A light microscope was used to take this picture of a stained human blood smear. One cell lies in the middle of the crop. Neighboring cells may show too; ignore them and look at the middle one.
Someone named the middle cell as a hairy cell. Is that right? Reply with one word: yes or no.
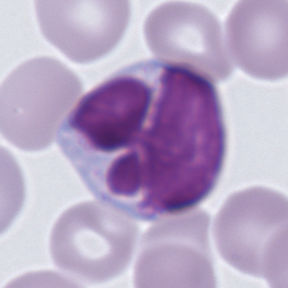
no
